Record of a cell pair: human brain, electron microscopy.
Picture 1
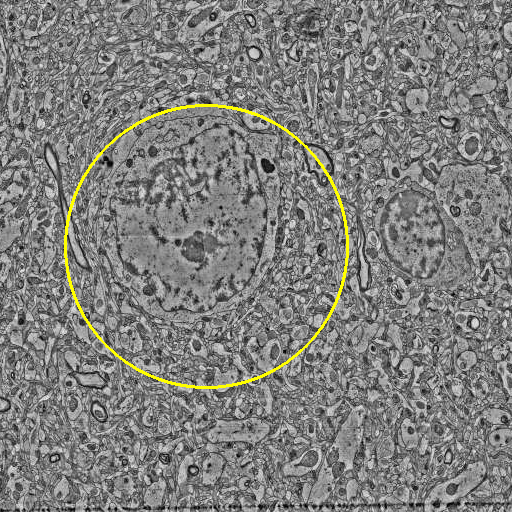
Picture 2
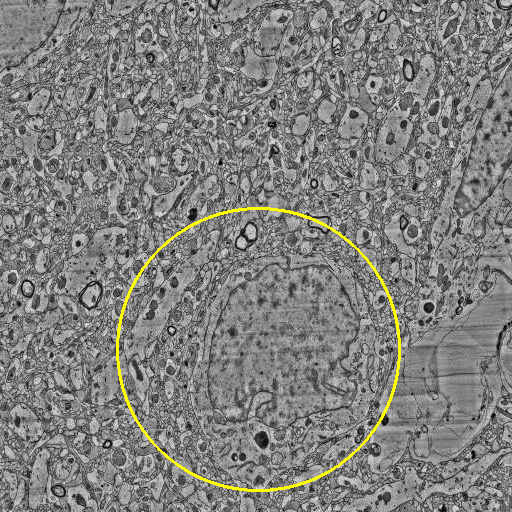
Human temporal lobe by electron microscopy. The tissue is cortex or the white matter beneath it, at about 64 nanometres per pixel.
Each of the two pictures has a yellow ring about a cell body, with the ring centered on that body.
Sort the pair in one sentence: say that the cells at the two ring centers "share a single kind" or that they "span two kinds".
The cells centered in the rings of Pictures 1 and 2 share a single kind.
